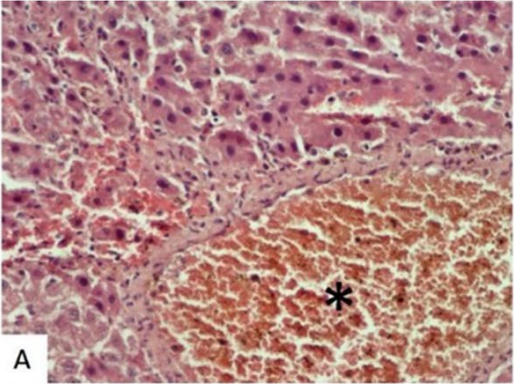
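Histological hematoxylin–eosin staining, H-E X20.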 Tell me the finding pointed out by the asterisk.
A: Congestion.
